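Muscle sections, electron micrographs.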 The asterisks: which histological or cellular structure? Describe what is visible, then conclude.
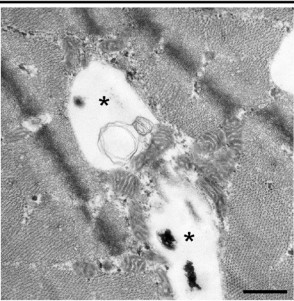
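A large pale vacuole contains curled, concentric membrane loops. A second asterisk marks a space with dark, dense contents. Striated myofibrils surround the vacuoles. On this evidence: degradative vacuoles.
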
